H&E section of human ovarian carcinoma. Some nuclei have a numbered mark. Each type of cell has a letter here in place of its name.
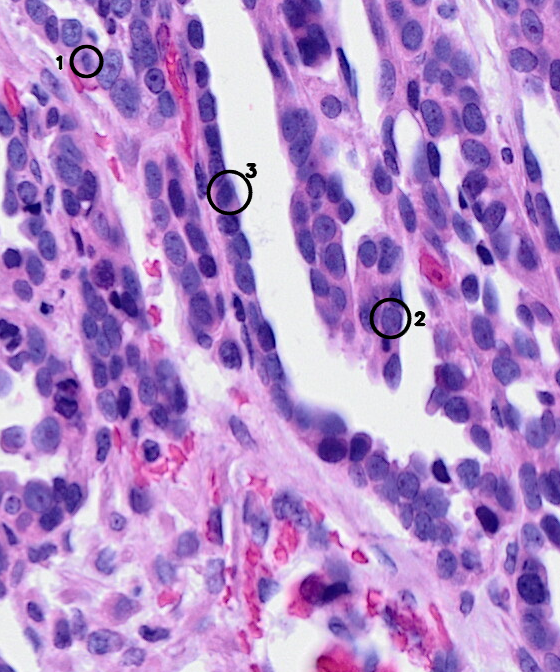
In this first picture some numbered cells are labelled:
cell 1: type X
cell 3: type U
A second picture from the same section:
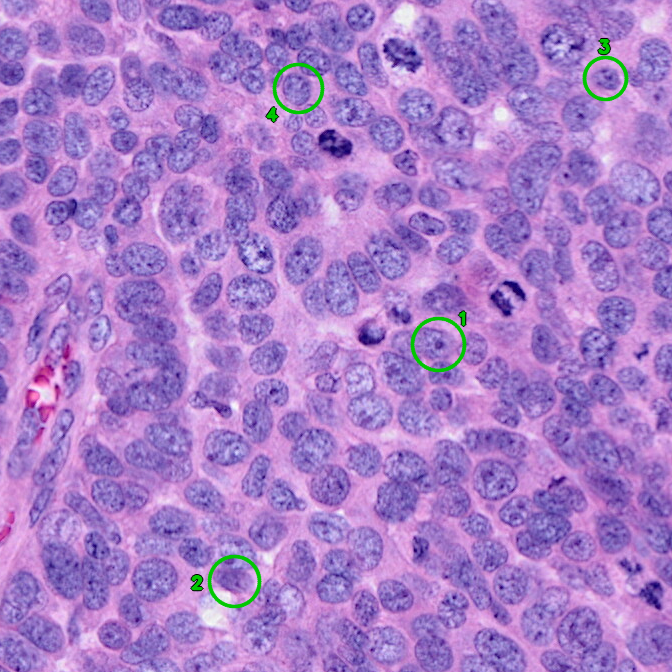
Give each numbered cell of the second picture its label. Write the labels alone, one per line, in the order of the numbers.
type U
type U
type X
type U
